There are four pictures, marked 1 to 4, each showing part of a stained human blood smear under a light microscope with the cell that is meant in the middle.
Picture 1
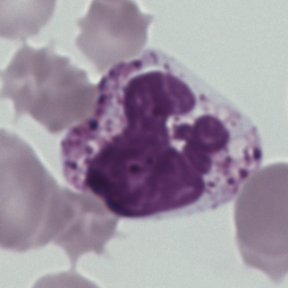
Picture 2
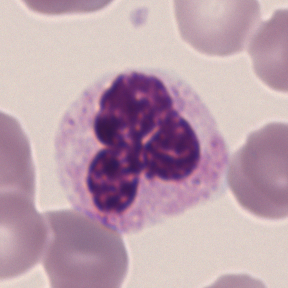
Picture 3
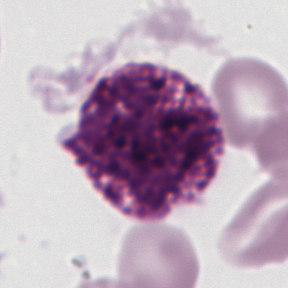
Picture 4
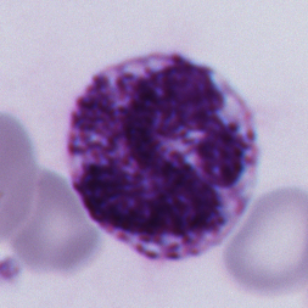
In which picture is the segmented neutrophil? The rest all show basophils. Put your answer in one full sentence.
Picture 2 shows the segmented neutrophil.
